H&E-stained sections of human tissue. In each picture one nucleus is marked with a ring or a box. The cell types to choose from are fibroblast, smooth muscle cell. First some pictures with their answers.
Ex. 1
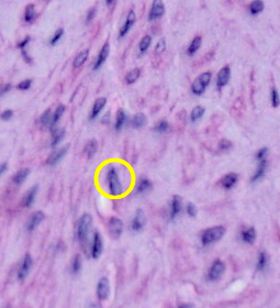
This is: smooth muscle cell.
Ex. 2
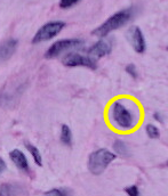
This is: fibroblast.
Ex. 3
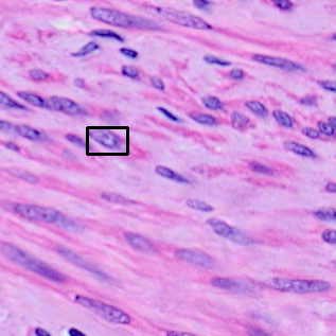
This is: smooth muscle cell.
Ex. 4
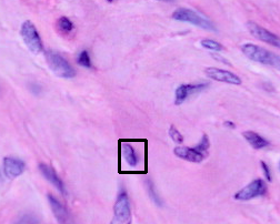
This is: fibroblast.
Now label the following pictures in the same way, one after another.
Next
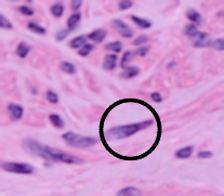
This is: smooth muscle cell.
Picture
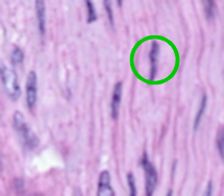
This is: fibroblast.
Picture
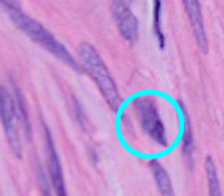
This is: smooth muscle cell.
